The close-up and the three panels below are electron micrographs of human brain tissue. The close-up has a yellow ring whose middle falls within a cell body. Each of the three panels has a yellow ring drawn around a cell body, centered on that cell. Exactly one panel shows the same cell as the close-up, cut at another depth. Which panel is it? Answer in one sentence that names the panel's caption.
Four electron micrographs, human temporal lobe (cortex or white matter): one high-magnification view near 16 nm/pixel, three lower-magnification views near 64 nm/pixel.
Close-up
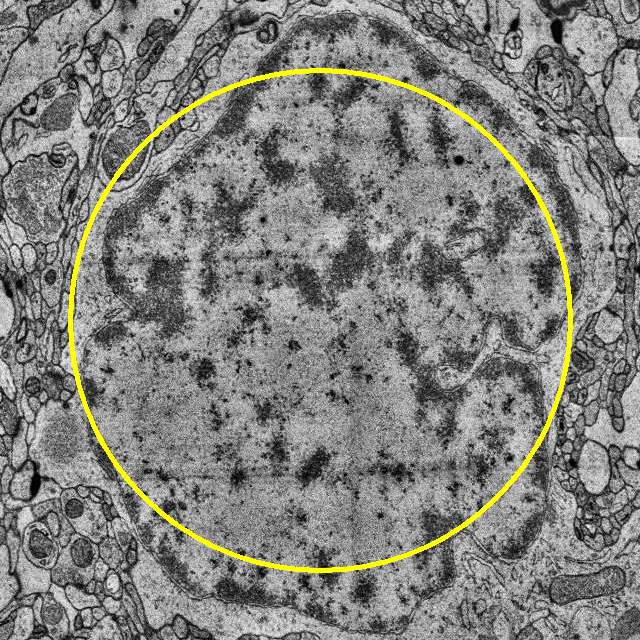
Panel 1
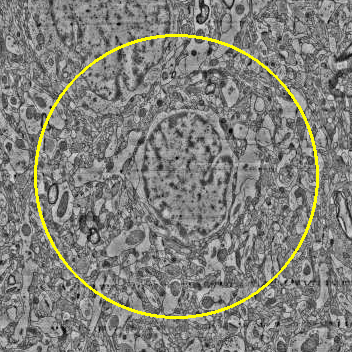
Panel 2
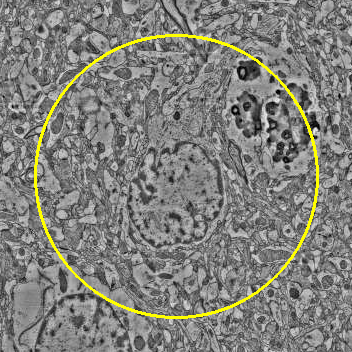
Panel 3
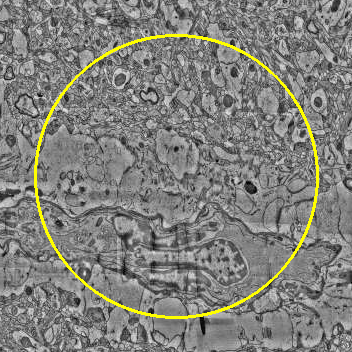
The cell enlarged for the close-up is ringed in Panel 1.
